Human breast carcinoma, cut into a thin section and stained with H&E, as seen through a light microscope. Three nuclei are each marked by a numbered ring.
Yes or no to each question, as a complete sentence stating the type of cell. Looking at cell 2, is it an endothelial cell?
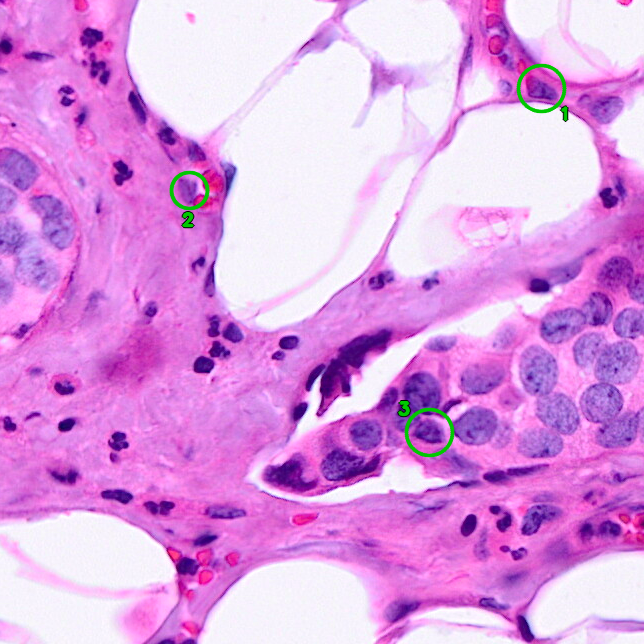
Yes, the nucleus numbered 2 belongs to an endothelial cell.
